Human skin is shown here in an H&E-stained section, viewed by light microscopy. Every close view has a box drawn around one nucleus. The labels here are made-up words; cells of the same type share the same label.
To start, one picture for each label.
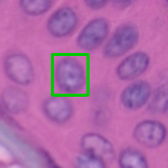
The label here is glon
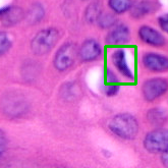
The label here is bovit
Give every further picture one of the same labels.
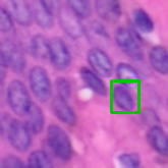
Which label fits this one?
bovit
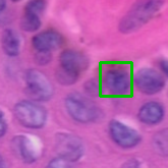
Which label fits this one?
bovit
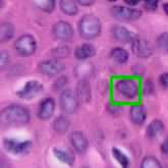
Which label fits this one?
bovit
